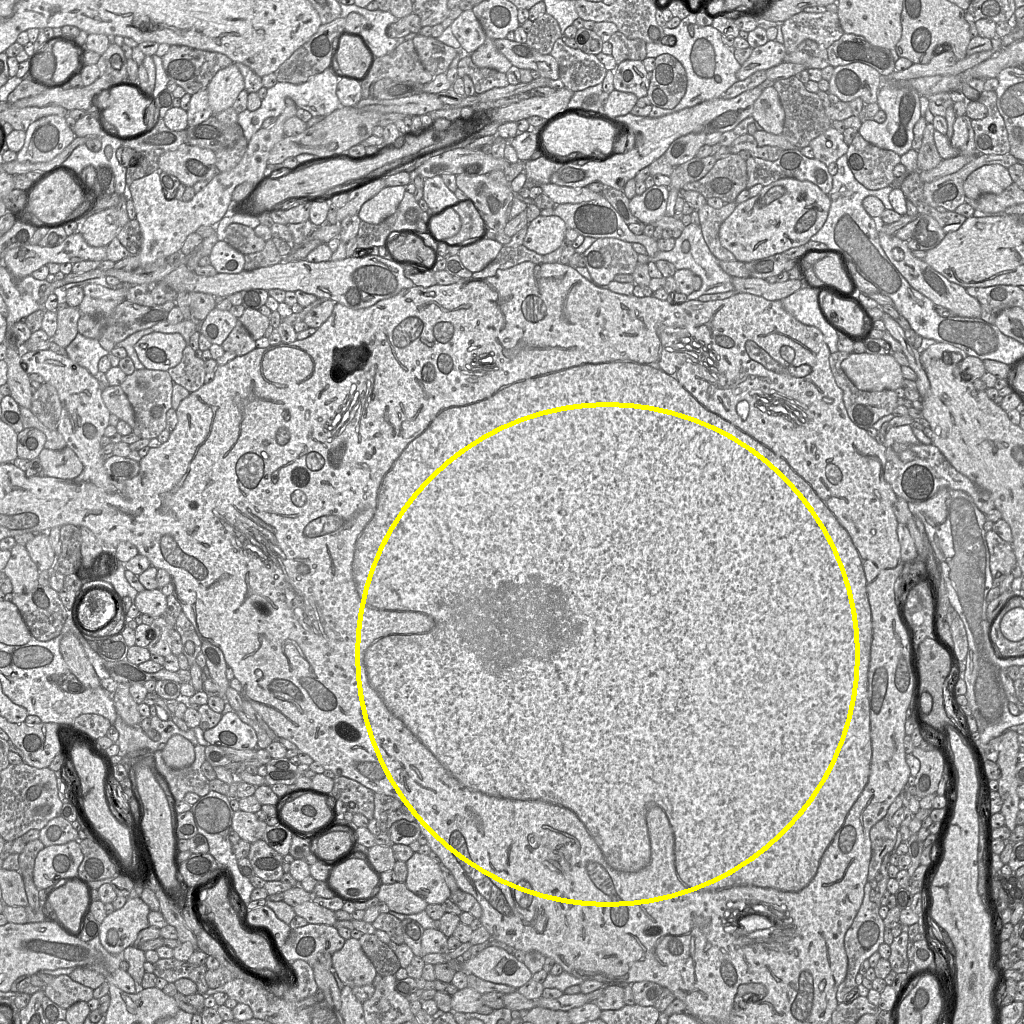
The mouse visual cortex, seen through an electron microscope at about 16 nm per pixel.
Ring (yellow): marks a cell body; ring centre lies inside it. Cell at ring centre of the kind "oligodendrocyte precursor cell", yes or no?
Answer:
no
